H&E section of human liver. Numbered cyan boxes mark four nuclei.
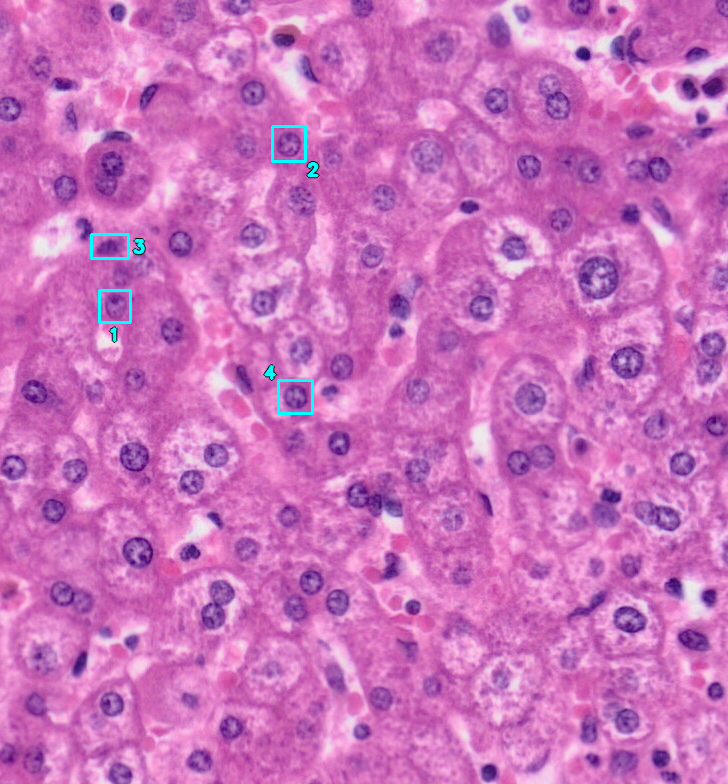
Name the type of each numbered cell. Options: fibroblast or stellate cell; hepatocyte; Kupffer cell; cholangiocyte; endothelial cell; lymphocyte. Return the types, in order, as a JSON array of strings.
["hepatocyte", "hepatocyte", "fibroblast or stellate cell", "hepatocyte"]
